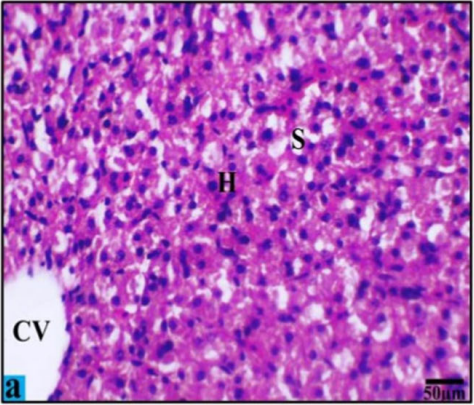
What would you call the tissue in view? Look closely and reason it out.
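Liver. Polygonal cells with central round dark nuclei and pink cytoplasm fill the field. A large round empty vessel lumen lies at the lower left.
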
